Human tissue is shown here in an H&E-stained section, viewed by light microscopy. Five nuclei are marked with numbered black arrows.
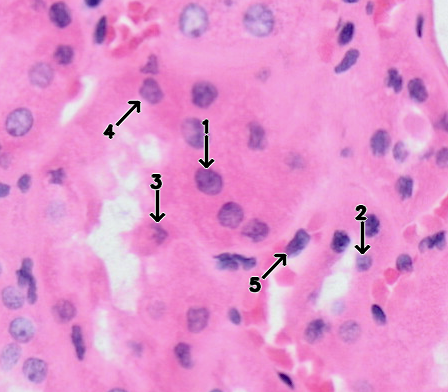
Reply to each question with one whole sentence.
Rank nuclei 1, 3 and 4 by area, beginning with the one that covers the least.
From smallest to largest, the order is 3, 4, 1.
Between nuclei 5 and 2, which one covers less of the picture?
The smaller nucleus is 2, and 5 covers roughly 2 times its area.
